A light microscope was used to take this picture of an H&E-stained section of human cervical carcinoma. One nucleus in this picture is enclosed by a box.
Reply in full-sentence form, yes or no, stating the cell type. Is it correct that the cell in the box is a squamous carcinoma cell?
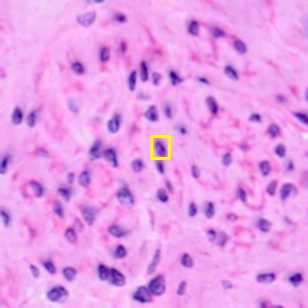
No, the cell in the box is simply a smooth muscle cell rather than a squamous carcinoma cell.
